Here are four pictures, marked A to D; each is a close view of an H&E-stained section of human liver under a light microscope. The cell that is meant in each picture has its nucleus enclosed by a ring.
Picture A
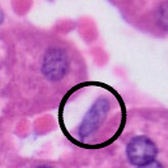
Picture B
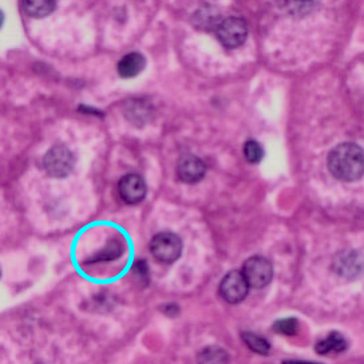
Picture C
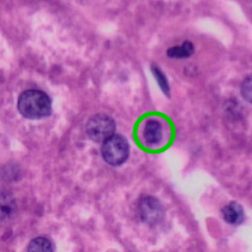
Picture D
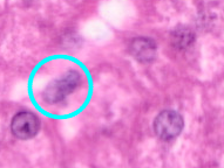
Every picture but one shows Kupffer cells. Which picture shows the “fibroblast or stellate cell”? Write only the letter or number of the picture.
C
